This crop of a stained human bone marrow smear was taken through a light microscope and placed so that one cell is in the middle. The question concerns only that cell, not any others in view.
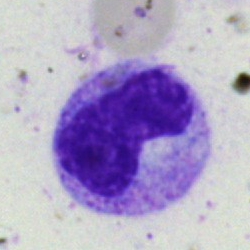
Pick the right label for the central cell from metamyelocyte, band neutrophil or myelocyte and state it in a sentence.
Positioned in the middle of the crop is a metamyelocyte.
